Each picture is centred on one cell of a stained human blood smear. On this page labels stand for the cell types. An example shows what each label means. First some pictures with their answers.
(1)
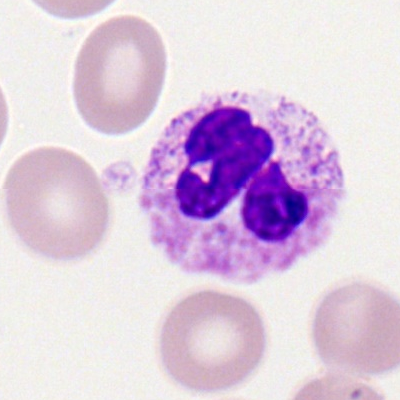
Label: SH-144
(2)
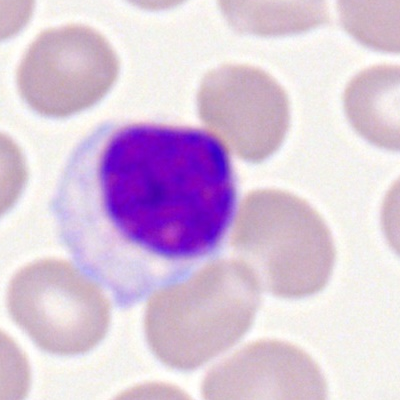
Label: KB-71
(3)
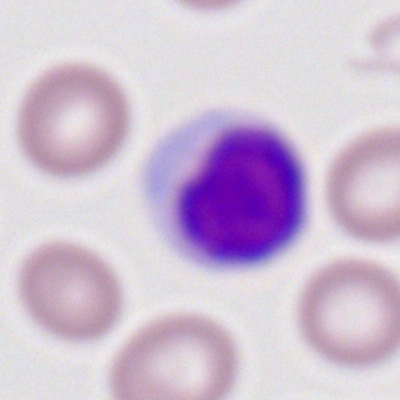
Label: KB-71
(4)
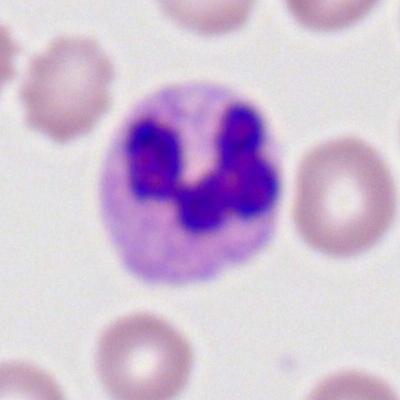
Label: SH-144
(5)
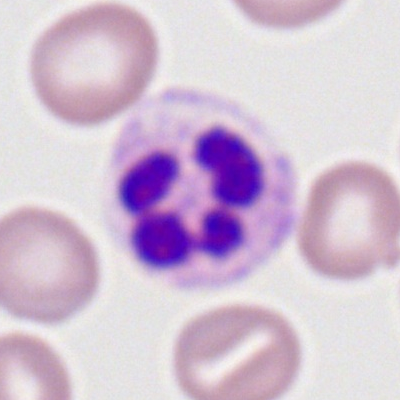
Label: SH-144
